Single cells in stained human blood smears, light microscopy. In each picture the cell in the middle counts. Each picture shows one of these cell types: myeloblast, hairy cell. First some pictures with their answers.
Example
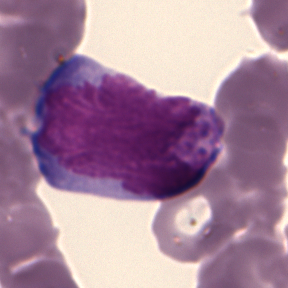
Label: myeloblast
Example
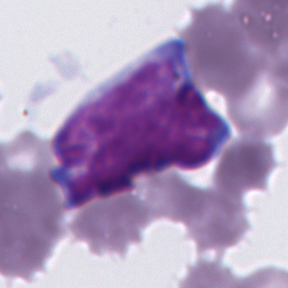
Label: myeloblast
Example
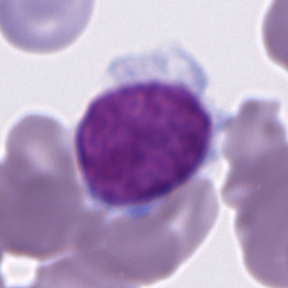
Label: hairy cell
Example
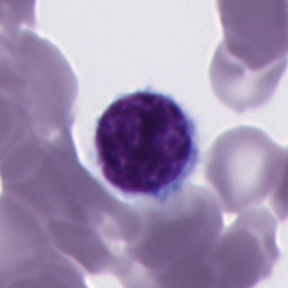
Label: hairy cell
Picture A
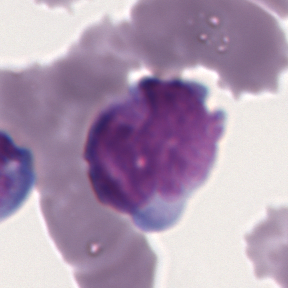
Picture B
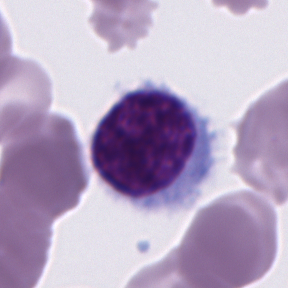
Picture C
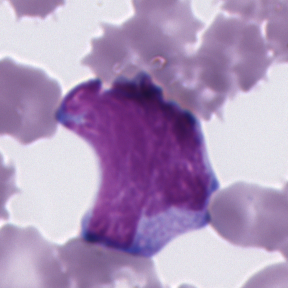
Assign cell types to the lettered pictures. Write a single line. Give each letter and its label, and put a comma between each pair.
A myeloblast, B hairy cell, C myeloblast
